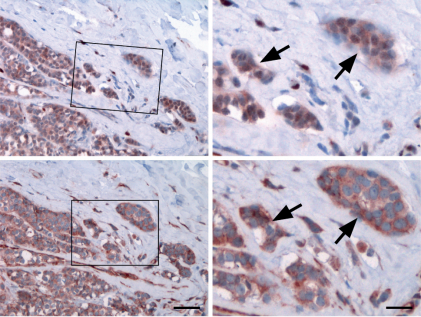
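Nests and cords of tumor cells lie within paler fibrous stroma. Small elongated stroma cells between the nests are also partly brown.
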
